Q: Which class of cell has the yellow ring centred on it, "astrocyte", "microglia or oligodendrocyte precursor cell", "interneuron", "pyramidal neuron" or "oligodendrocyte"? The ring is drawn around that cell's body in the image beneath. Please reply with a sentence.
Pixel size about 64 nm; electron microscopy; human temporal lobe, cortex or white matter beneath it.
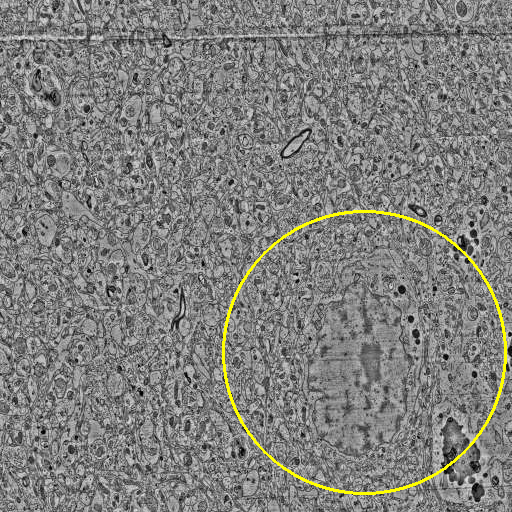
It is centred on an interneuron.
